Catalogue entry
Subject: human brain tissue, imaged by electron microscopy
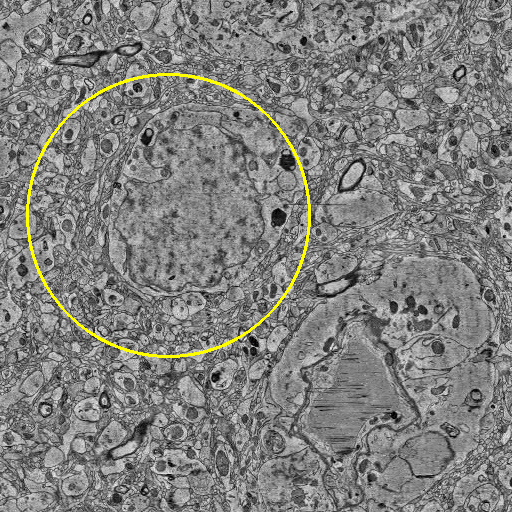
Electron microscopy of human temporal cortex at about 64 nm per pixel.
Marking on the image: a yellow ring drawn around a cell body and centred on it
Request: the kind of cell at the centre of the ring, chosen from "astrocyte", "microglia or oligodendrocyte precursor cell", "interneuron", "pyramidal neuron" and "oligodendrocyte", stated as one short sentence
The ring has a pyramidal neuron at its centre.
